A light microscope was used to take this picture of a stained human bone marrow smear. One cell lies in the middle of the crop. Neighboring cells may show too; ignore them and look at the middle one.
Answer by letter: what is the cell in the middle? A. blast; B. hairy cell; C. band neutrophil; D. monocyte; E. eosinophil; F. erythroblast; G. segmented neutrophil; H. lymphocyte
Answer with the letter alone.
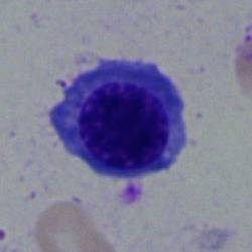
F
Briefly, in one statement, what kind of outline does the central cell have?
Irregular and not smooth, the cell boundary is ragged or drawn out into projections.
